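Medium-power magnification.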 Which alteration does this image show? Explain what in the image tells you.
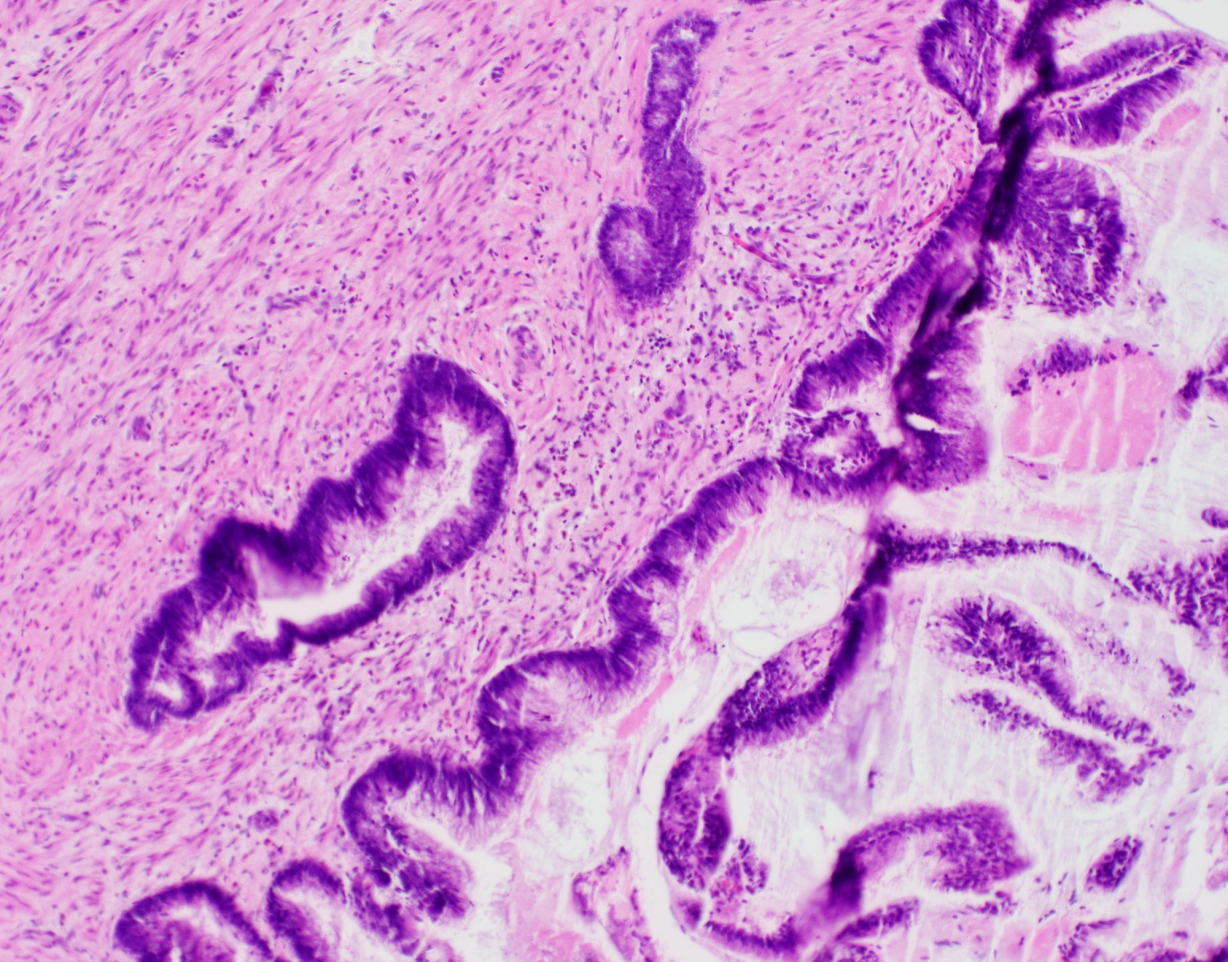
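Strips and glands of tall columnar epithelium with dark, crowded nuclei. Pale, lightly staining pools of extracellular material fill the right half and surround floating epithelial strips. Epithelial strips lie within a pink spindle-cell fibrous stroma on the left.
Hence: mucinous neoplasm.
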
